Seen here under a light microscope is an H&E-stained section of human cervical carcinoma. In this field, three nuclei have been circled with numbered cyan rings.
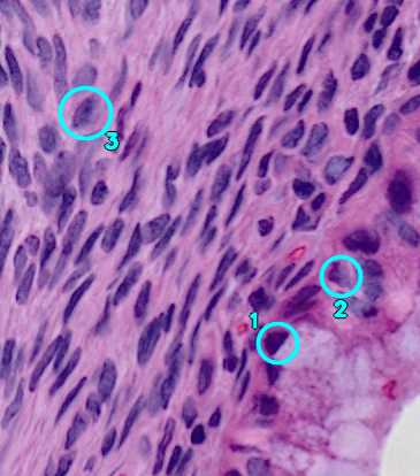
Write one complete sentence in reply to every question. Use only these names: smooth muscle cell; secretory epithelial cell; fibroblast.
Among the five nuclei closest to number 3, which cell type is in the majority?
Most of the five nuclei nearest to number 3 are those of fibroblasts.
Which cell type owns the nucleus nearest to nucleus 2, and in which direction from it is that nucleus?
The nearest nucleus is that of a secretory epithelial cell and lies to the right of nucleus 2.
